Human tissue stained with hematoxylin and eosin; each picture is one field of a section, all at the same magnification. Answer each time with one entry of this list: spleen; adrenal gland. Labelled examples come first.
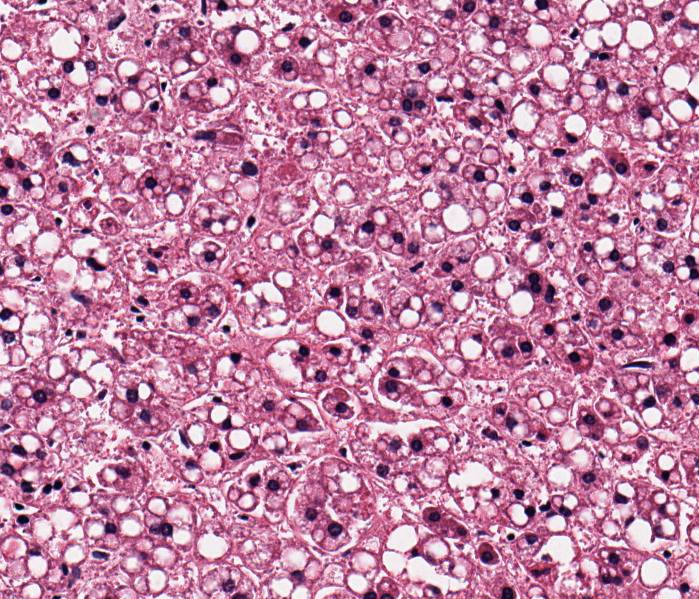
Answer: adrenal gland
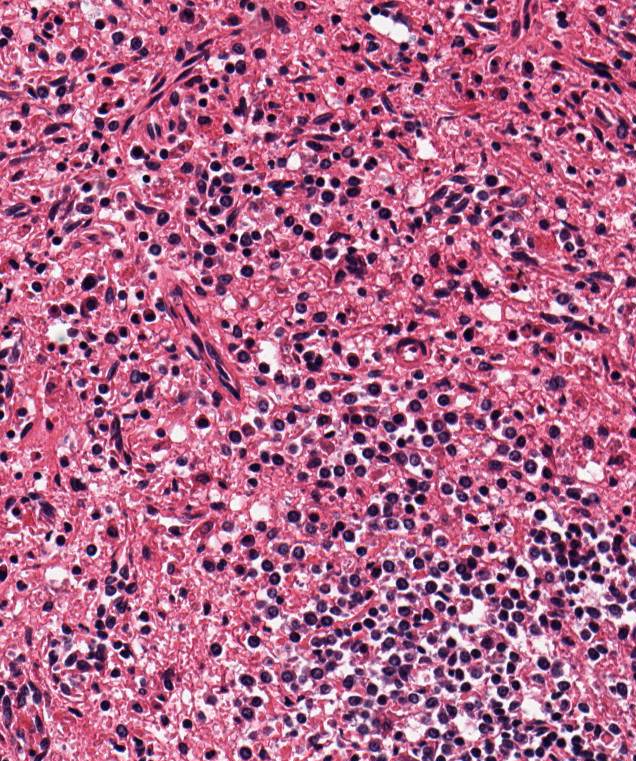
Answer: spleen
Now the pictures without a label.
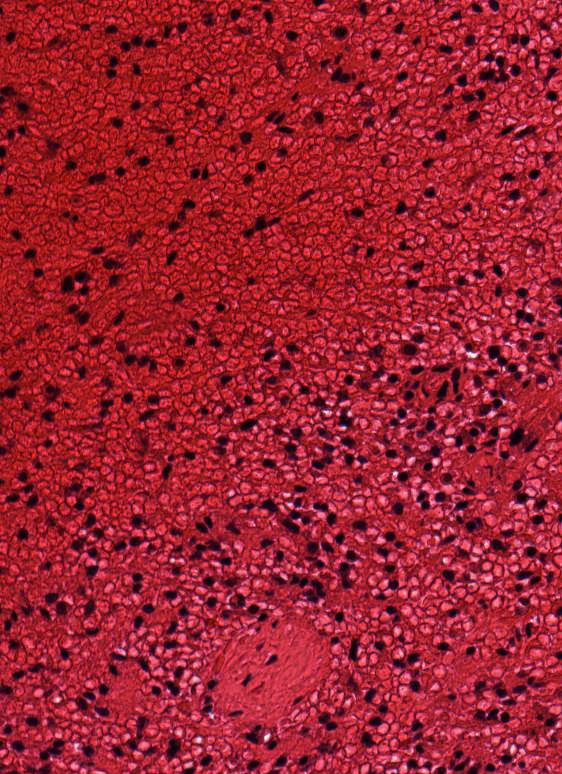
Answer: spleen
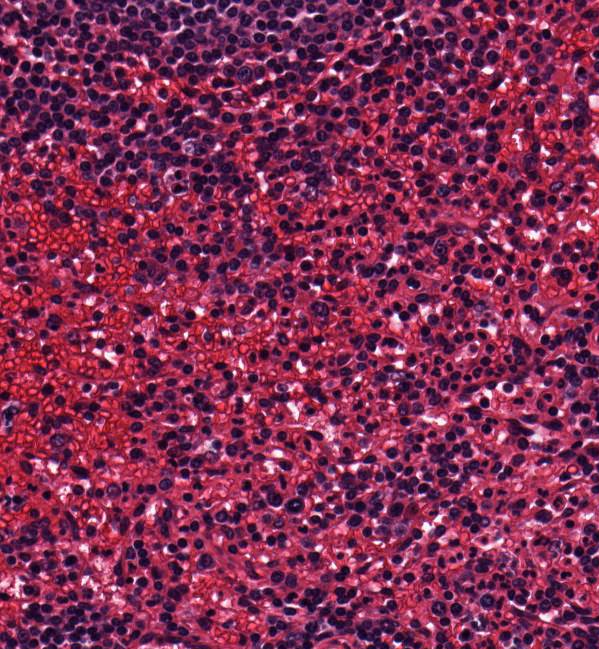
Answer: spleen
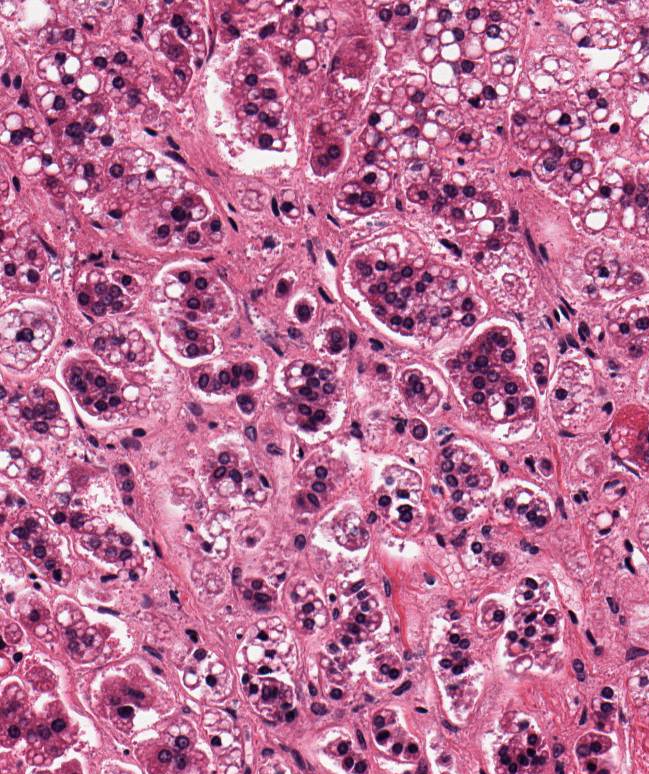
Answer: adrenal gland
